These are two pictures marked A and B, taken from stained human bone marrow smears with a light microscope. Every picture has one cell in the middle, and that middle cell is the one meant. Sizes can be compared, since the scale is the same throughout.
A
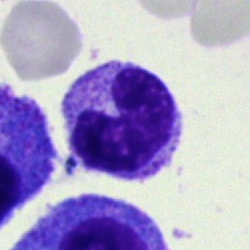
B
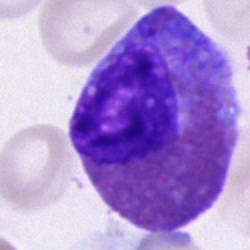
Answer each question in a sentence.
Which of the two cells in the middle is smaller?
Crop A holds the smaller cell, since the cell in crop B covers about 2.5 times as much area.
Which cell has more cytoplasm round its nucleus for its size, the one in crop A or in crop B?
In crop B the nucleus takes up the smaller part of its cell.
